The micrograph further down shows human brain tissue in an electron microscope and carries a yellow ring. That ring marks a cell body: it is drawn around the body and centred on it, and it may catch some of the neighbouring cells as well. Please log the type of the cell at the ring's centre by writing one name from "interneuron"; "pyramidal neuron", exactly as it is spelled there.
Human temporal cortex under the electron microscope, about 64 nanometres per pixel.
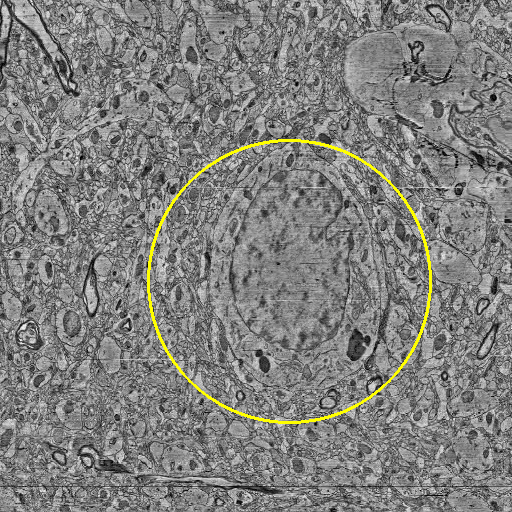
interneuron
